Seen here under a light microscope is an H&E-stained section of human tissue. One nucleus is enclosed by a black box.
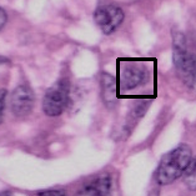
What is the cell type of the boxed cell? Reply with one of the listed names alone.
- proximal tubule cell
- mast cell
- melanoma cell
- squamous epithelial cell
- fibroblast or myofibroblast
melanoma cell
